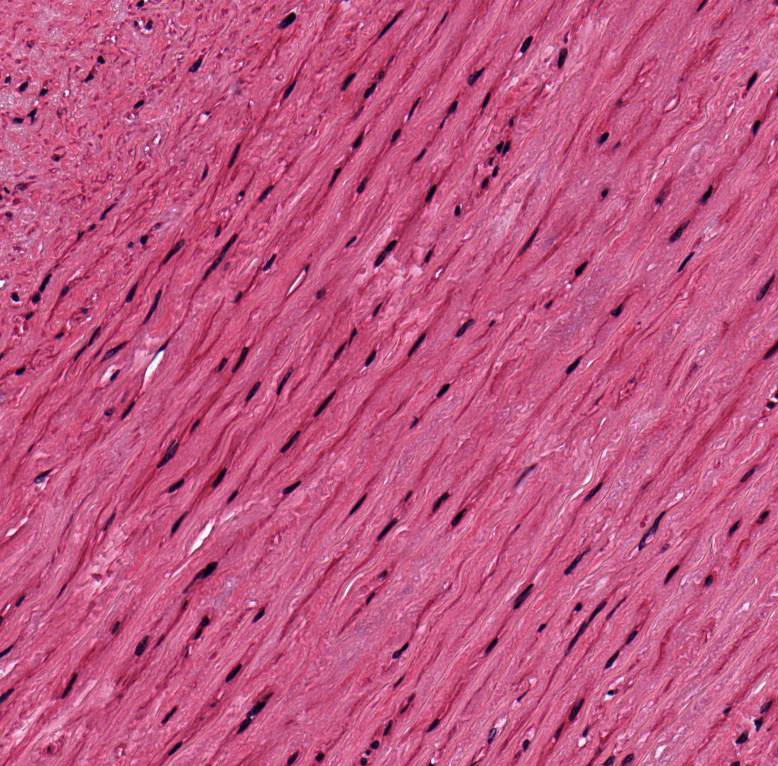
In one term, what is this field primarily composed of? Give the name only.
tunica media of an artery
